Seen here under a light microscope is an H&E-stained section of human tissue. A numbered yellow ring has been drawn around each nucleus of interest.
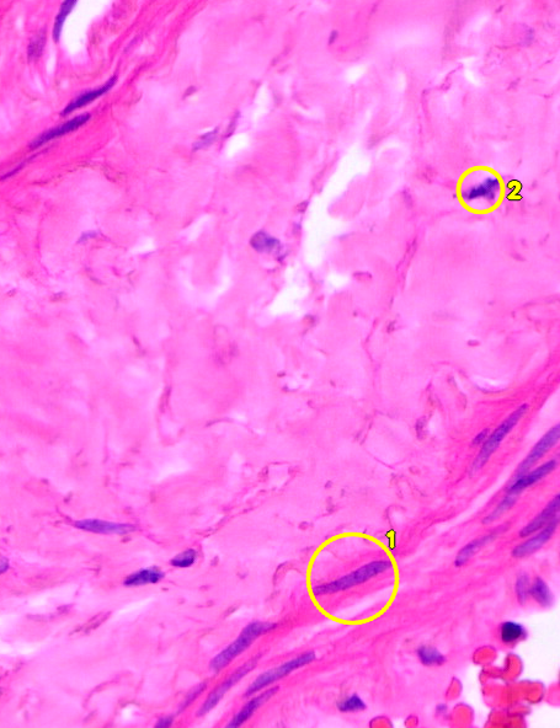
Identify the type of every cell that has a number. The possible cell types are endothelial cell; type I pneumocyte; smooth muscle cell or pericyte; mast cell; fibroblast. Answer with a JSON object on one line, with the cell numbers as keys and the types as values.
{"1": "smooth muscle cell or pericyte", "2": "fibroblast"}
